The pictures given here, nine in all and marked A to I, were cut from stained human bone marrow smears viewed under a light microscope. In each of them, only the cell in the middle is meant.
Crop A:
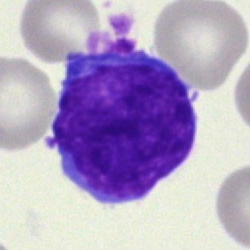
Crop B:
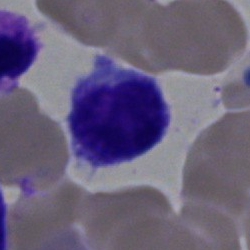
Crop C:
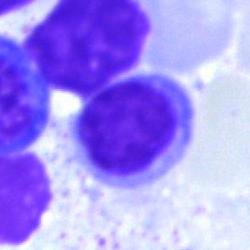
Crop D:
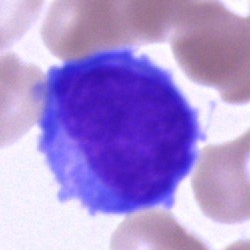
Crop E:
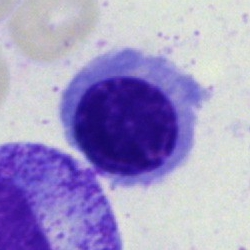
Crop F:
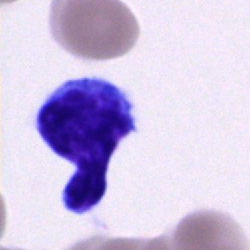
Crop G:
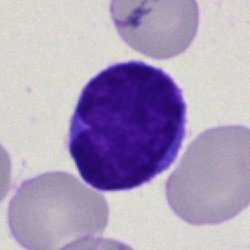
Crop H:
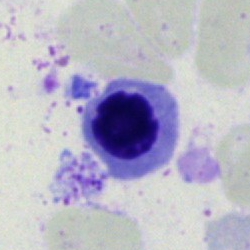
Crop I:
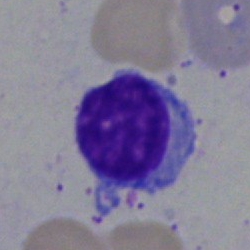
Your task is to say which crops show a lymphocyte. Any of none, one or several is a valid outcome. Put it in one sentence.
Crops B, C, G and I contain lymphocytes as their central cells.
